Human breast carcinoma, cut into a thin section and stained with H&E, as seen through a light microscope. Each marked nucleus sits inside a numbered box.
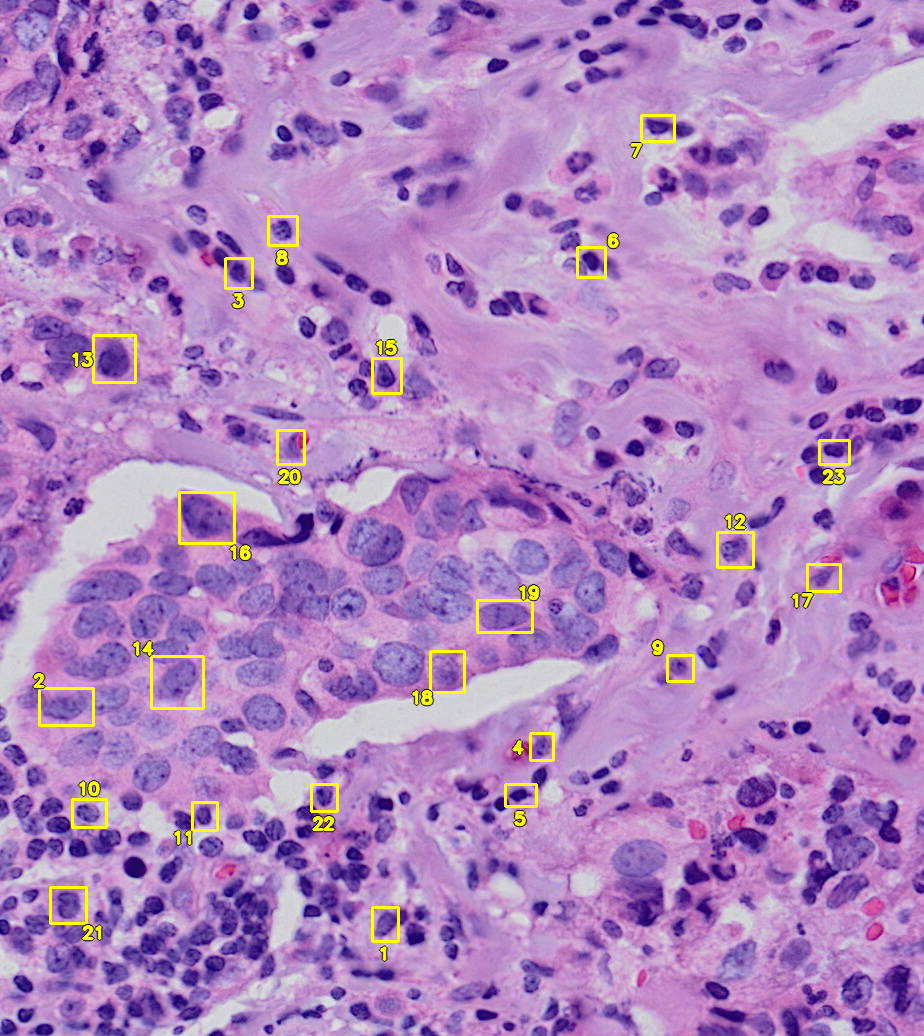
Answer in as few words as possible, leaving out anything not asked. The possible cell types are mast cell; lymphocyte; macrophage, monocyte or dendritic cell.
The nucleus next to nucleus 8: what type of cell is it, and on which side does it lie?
a lymphocyte; below nucleus 8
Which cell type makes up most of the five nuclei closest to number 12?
macrophage, monocyte or dendritic cell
